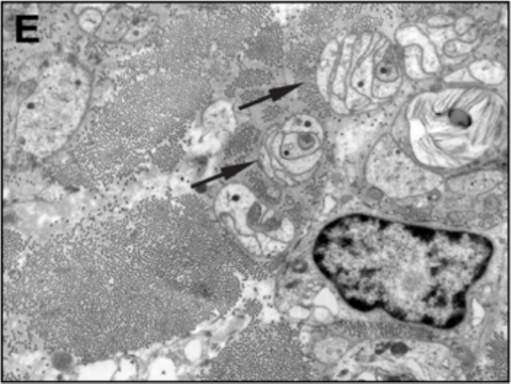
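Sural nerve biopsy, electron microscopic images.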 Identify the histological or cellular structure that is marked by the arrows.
Denervated Schwann cell bands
